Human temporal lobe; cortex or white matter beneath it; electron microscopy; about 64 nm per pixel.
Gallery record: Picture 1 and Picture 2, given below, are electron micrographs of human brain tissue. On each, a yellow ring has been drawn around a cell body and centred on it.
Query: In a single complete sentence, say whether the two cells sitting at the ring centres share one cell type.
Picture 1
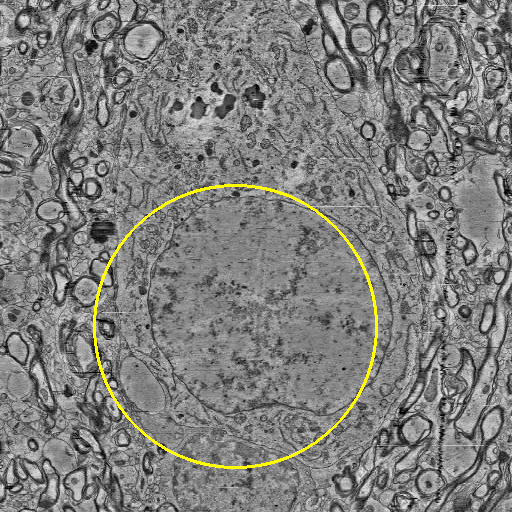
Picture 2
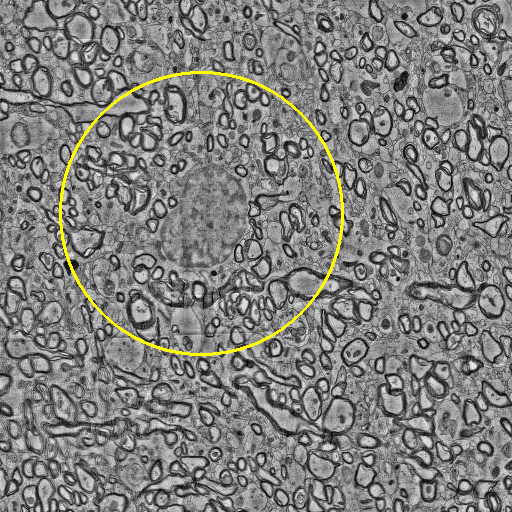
No, in the two pictures the cells at the rings' centres are of two separate types.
